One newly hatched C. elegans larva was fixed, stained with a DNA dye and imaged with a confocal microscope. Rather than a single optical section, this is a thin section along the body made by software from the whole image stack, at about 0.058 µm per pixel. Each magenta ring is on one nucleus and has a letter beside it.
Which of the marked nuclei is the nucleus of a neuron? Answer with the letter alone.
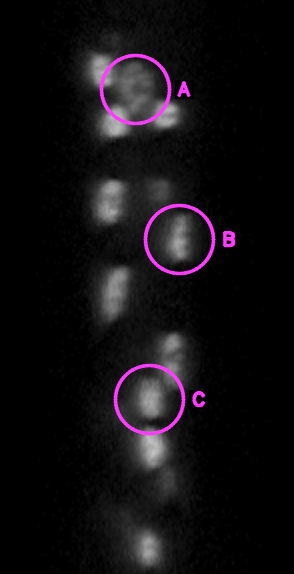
C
